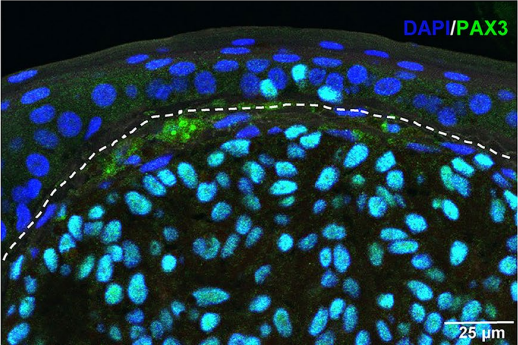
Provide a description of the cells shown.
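Below the dashed line lies a dense mass of crowded, oval to round nuclei that appear cyan because green and blue overlap in nearly all of them. Above the line the epithelial nuclei are mostly blue, flatter toward the surface, with a few cyan nuclei scattered among them.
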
